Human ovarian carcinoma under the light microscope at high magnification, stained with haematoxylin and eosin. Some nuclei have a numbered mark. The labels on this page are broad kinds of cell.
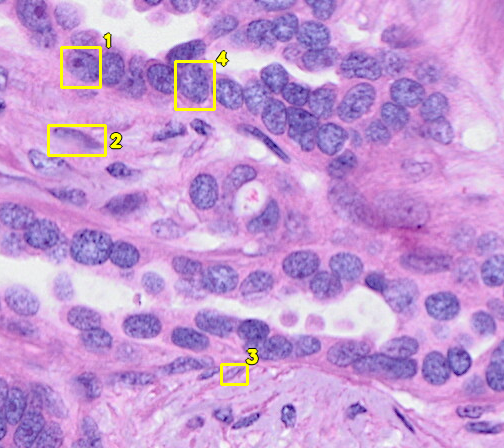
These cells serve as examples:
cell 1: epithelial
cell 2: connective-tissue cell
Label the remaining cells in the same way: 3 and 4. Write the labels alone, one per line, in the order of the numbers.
connective-tissue cell
epithelial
